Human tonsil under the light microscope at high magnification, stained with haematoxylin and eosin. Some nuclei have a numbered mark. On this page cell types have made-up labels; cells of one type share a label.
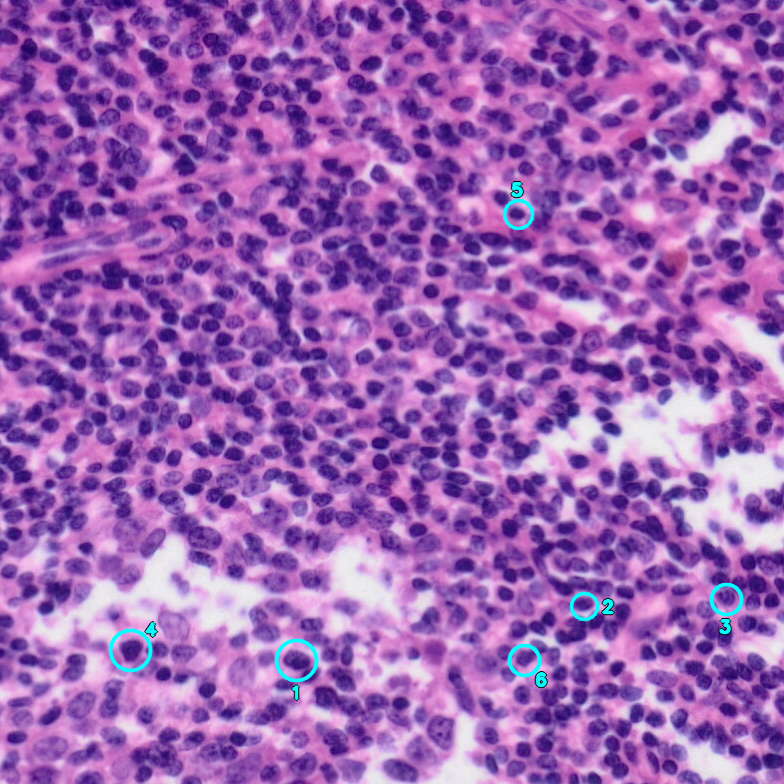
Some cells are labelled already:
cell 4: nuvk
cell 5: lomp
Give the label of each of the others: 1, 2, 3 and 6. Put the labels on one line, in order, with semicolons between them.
nuvk; lomp; lomp; lomp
